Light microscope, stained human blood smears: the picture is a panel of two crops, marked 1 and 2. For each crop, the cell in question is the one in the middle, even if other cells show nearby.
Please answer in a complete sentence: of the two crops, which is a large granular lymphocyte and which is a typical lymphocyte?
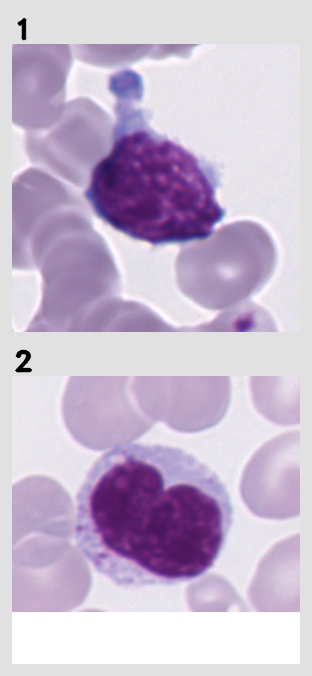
Crop 1 is recognised as a typical lymphocyte, crop 2 as a large granular lymphocyte.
